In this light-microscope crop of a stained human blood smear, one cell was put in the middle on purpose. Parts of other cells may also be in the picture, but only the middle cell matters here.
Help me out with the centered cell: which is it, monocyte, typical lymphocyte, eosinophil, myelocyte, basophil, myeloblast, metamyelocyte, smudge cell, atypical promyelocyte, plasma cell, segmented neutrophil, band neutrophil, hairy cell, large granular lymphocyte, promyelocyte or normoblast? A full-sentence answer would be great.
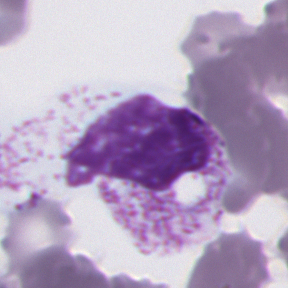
The cell occupying the middle of the crop is a segmented neutrophil.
